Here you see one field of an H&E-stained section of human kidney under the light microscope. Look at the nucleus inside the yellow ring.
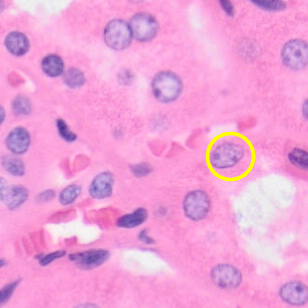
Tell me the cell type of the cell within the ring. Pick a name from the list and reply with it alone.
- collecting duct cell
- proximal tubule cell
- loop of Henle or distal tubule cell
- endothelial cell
proximal tubule cell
